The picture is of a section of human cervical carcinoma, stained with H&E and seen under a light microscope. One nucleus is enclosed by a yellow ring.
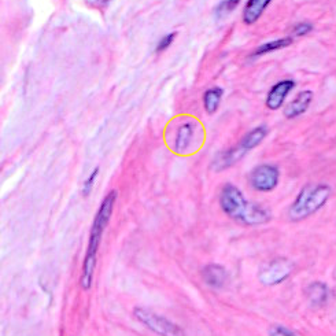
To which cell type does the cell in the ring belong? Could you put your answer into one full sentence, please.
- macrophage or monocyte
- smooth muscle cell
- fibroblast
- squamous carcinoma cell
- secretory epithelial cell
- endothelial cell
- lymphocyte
Considered by cell type, the cell in the ring is a smooth muscle cell.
